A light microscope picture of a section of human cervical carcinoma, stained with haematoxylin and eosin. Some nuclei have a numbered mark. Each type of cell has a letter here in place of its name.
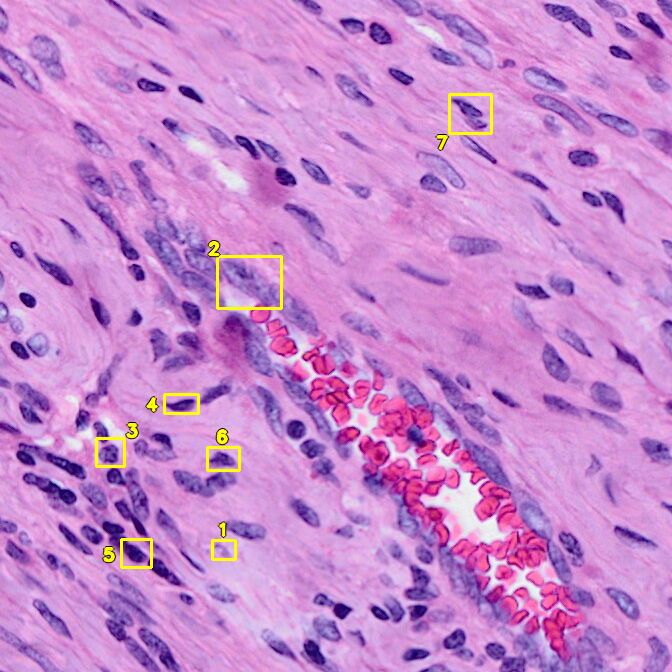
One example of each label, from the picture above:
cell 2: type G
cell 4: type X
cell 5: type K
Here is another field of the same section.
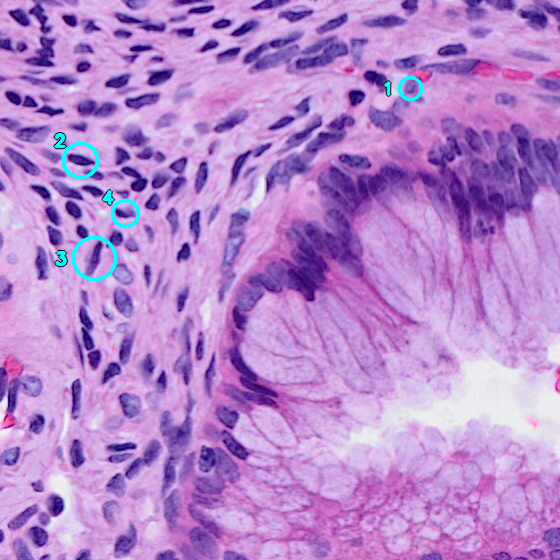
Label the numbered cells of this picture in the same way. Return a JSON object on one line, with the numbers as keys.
{"1": "type G", "2": "type X", "3": "type X", "4": "type X"}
